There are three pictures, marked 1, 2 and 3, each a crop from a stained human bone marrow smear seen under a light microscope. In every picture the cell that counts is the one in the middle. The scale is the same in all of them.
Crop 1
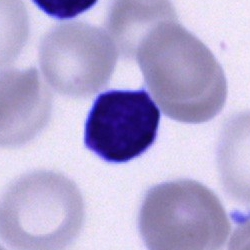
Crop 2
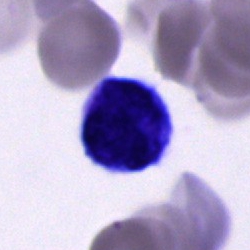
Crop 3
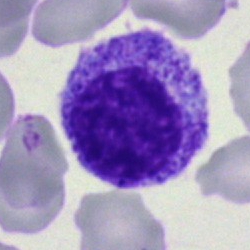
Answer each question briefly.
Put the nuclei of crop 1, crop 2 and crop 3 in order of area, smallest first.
1, 2, 3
